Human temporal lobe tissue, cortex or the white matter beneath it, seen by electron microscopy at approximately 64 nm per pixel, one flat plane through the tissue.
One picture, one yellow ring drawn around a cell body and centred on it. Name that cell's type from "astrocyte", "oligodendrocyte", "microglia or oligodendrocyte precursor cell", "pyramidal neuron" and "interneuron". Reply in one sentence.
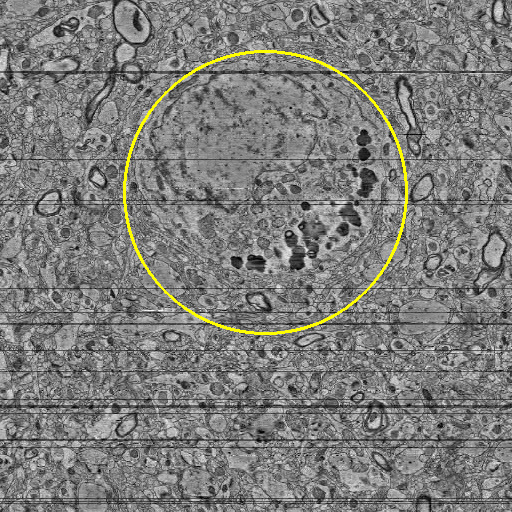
Centred in the ring is an interneuron.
